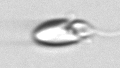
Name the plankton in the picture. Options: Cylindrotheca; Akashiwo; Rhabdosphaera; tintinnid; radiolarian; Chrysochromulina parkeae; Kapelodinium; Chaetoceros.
Kapelodinium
